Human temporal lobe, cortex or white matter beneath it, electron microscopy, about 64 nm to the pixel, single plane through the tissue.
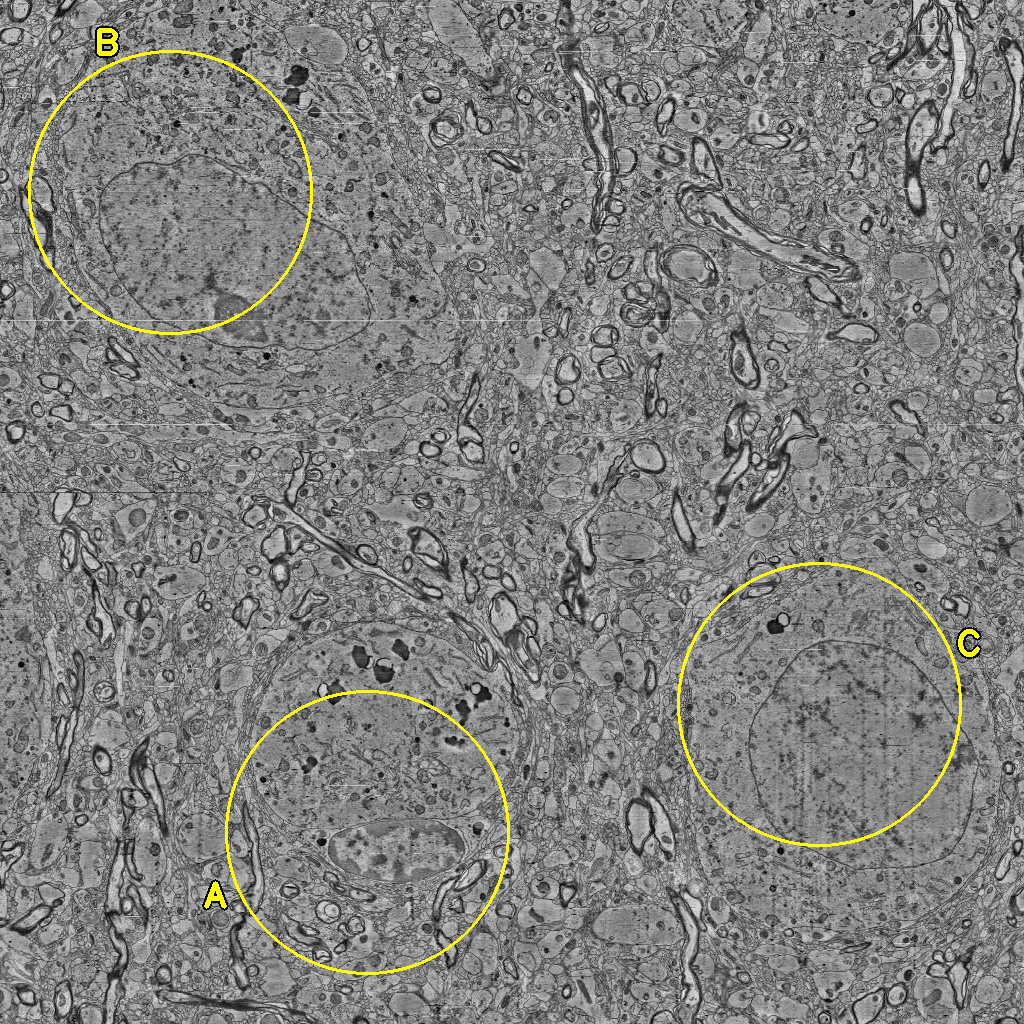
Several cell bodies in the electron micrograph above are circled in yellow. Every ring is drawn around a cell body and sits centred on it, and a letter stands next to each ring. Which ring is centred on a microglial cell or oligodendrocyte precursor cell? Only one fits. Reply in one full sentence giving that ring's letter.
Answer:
The ring centred on the cell asked for is Ring A.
